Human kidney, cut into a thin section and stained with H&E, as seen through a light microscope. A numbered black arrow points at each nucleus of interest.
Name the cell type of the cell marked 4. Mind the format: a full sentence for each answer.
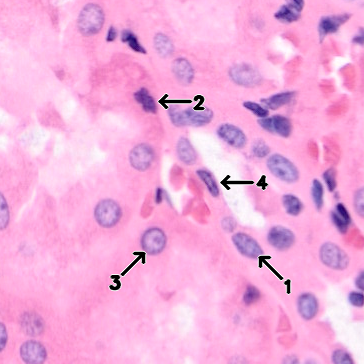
The identity of cell 4 is that of a collecting duct cell.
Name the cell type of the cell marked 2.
Belonging to a proximal tubule cell is the nucleus that carries the number 2.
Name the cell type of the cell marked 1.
The nucleus marked 1 is the nucleus of a collecting duct cell.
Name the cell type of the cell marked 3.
In the marked set, the cell given number 3 is a proximal tubule cell.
